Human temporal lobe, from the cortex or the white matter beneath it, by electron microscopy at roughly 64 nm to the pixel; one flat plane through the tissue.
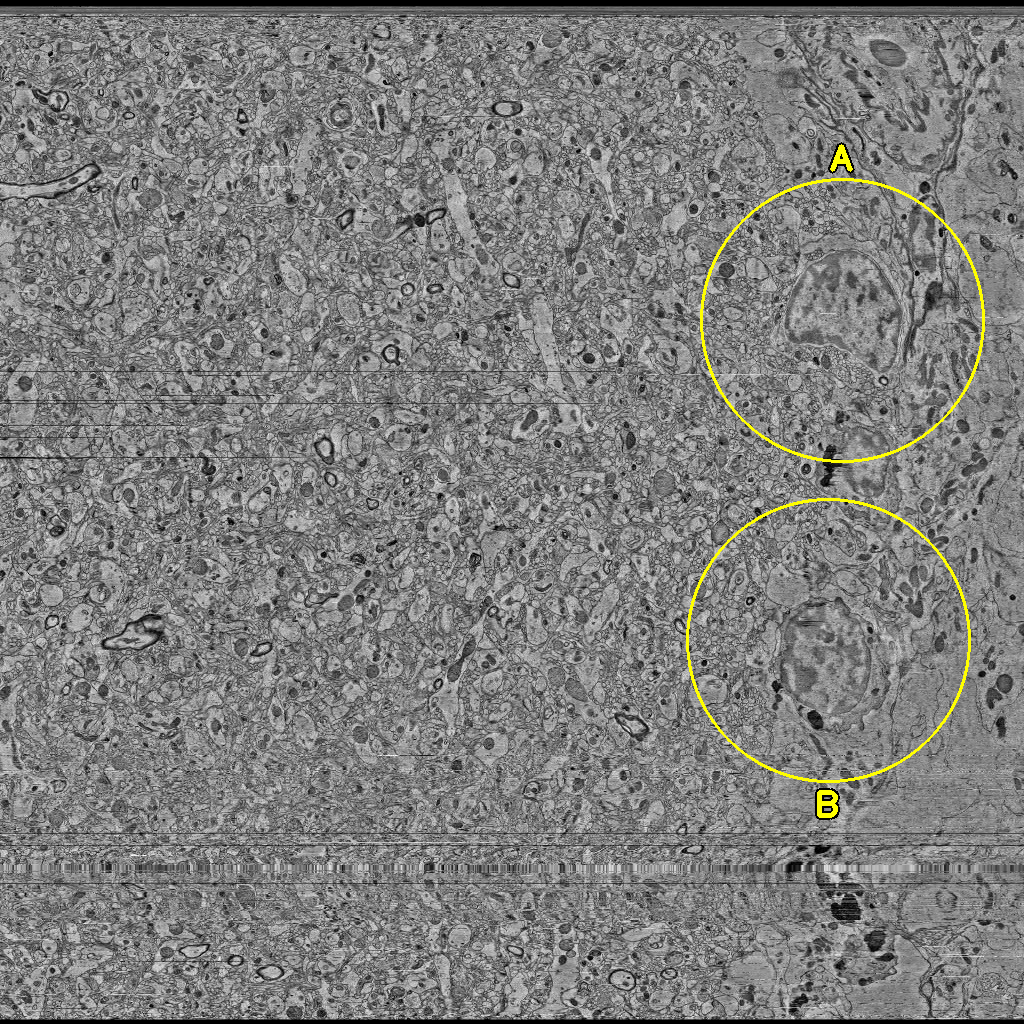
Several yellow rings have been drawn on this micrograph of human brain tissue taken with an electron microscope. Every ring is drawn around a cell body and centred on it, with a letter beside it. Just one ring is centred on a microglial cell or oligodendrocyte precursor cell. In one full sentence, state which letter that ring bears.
At the centre of ring A is a cell of that kind.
